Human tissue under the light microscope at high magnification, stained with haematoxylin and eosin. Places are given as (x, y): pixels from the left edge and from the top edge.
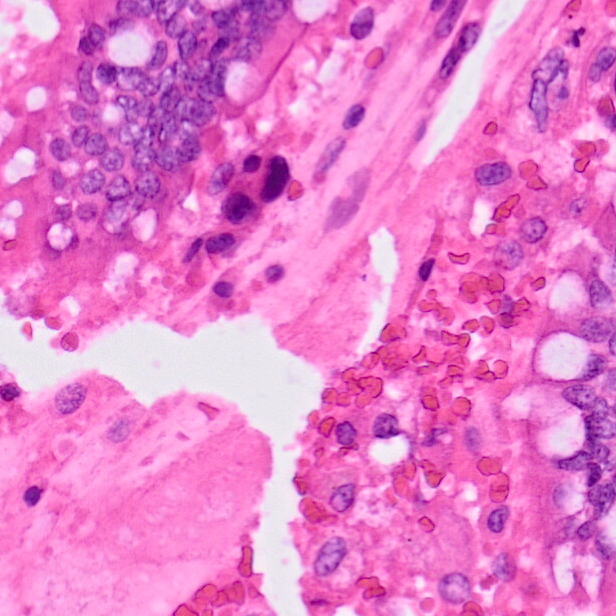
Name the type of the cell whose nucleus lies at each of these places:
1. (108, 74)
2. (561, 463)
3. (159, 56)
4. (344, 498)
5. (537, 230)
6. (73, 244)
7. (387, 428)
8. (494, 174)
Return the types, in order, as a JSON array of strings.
["ciliated epithelial cell", "ciliated epithelial cell", "ciliated epithelial cell", "macrophage or monocyte", "macrophage or monocyte", "ciliated epithelial cell", "macrophage or monocyte", "macrophage or monocyte"]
